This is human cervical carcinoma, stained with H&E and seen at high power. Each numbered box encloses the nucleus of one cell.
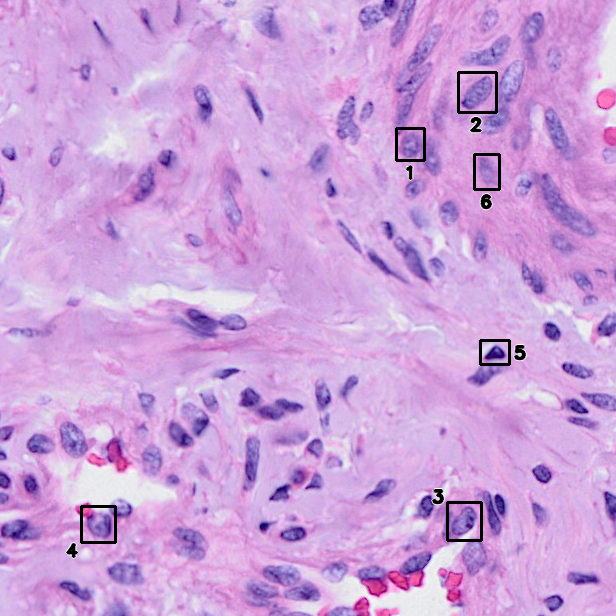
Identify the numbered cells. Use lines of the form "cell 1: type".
cell 1: smooth muscle cell
cell 2: smooth muscle cell
cell 3: endothelial cell
cell 4: endothelial cell
cell 5: lymphocyte
cell 6: smooth muscle cell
